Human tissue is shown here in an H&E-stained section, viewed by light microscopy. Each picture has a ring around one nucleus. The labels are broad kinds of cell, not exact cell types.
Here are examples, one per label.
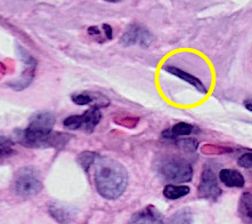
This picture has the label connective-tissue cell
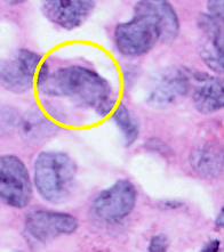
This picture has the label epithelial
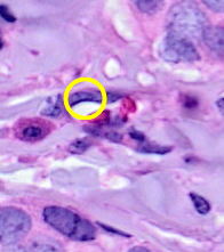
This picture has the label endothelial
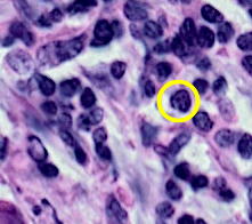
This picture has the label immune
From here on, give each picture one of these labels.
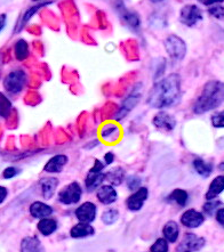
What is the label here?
endothelial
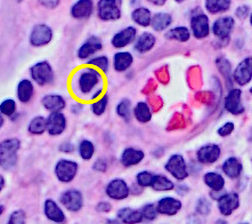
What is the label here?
immune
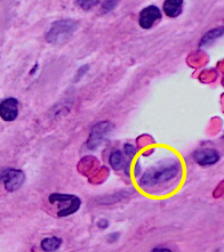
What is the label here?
endothelial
